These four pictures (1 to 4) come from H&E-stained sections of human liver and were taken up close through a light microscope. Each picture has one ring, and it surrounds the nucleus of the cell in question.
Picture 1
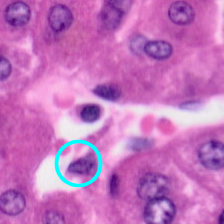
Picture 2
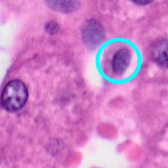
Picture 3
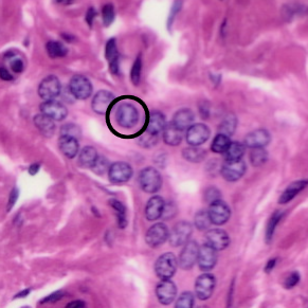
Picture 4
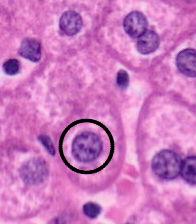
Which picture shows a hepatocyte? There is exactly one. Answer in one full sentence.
It is picture 4 that shows the hepatocyte.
